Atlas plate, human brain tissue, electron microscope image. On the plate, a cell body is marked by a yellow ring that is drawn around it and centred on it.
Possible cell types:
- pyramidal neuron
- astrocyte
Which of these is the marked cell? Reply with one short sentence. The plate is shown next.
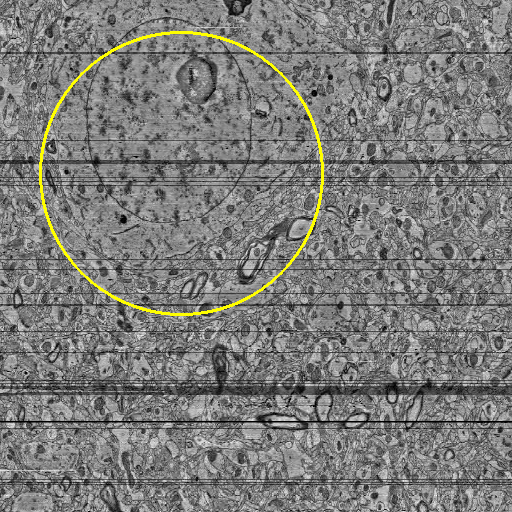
The marked cell is a pyramidal neuron.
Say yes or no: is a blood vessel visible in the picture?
No, the image shows no blood vessel.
